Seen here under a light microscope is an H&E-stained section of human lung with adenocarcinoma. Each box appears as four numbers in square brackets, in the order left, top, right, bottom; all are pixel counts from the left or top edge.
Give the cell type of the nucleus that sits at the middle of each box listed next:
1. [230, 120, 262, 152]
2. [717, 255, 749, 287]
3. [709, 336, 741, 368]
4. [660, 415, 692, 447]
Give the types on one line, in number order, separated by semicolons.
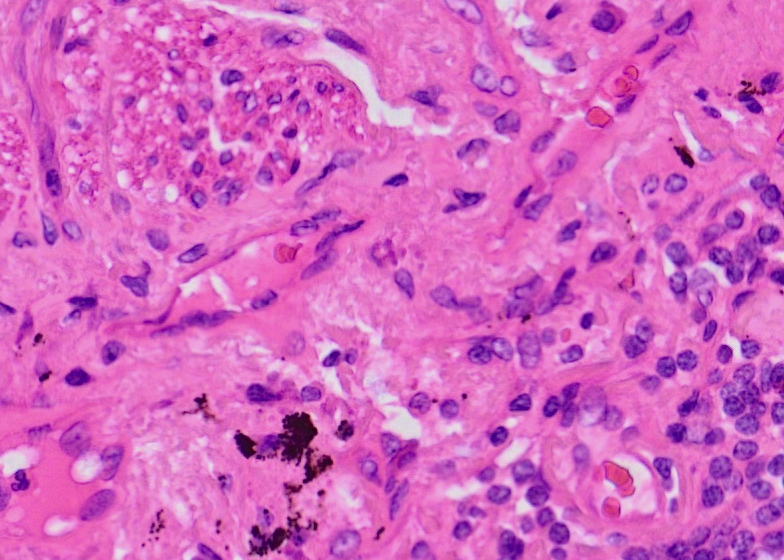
smooth muscle cell or pericyte; lymphocyte; lymphocyte; lymphocyte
